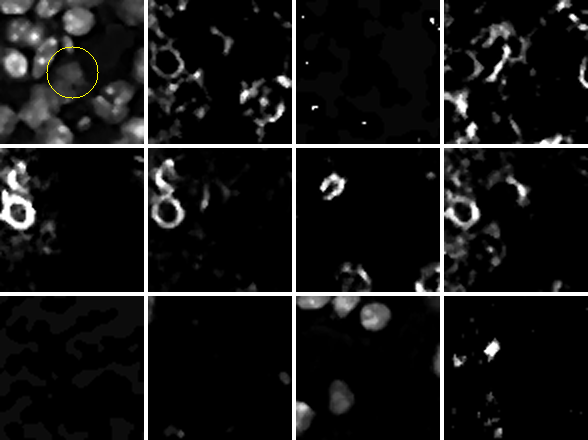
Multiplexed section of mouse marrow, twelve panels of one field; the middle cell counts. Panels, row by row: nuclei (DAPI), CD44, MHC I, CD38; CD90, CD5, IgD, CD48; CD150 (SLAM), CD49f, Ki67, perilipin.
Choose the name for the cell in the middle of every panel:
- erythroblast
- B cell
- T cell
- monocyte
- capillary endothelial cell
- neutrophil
capillary endothelial cell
